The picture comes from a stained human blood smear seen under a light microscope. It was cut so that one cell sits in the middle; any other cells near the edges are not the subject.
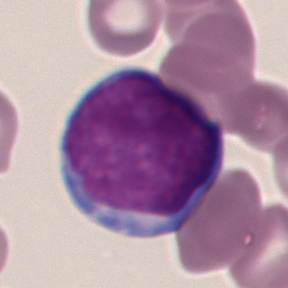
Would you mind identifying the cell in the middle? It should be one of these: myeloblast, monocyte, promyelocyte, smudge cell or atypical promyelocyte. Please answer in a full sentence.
The cell at the middle of the crop is recognized as a myeloblast.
